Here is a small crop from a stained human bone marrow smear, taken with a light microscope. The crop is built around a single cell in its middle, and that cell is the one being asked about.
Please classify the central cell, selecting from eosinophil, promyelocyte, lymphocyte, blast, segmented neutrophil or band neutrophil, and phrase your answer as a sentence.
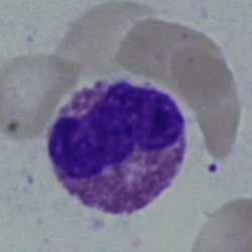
In short, the cell at the center is an eosinophil.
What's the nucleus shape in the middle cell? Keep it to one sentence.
Two or more lobes make up the nucleus of this cell.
